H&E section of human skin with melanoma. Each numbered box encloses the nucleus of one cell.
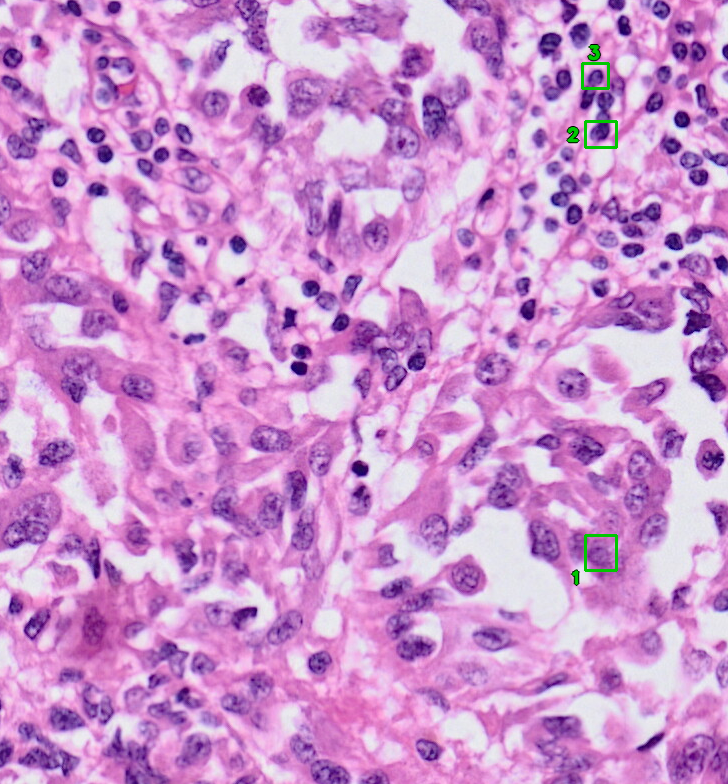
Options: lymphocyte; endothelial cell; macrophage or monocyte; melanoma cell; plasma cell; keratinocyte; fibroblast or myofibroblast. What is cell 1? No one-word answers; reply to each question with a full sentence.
Among the marked cells, number 1 is a melanoma cell.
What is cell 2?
Regarding cell 2, this one is a lymphocyte.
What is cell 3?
The cell given label 3 is a lymphocyte.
